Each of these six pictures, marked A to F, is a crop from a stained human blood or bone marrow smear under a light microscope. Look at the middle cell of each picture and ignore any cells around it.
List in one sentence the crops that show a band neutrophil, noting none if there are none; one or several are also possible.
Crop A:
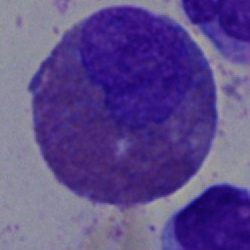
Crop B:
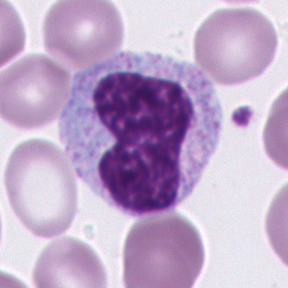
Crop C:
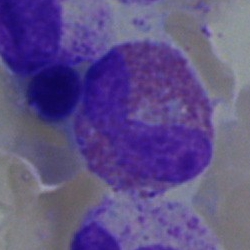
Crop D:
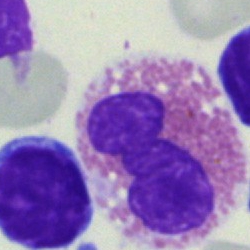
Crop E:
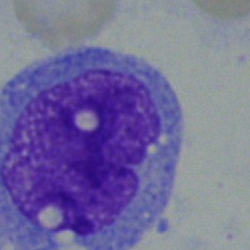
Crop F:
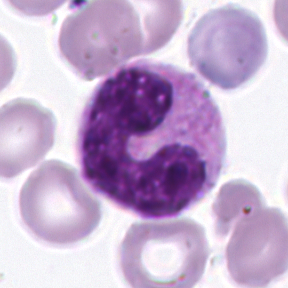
The cells being asked about in crops B and F are band neutrophils.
